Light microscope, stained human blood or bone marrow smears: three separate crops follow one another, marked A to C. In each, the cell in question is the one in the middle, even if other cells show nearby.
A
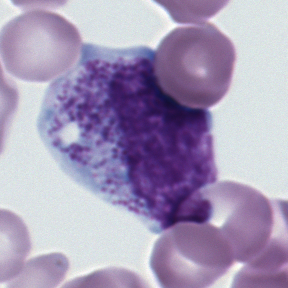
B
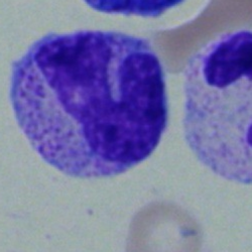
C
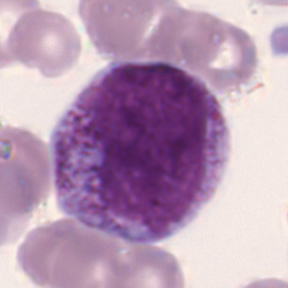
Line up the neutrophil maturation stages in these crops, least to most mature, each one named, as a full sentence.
Arranged by increasing maturity, the sequence is crop C (a promyelocyte), crop A (a myelocyte) and crop B (a band neutrophil).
